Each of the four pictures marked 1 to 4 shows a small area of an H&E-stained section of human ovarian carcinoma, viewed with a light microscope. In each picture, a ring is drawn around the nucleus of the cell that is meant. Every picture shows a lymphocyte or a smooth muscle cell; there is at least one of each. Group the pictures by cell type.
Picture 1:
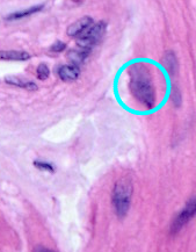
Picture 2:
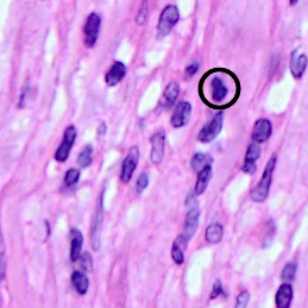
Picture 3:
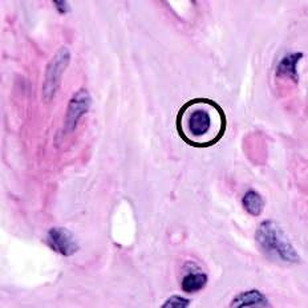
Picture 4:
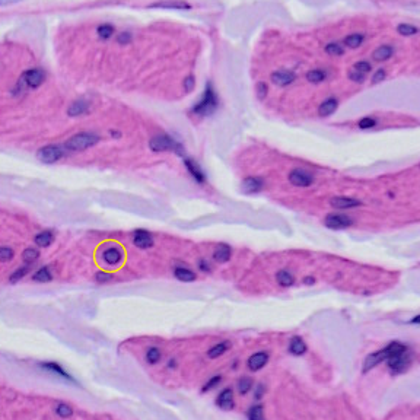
1: smooth muscle cell
2: lymphocyte
3: lymphocyte
4: smooth muscle cell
